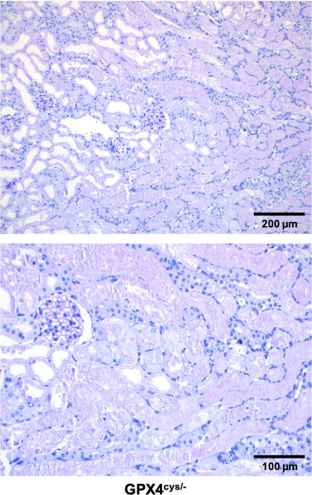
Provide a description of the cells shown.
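This is kidney tissue with a glomerulus and many surrounding tubules, and the tubules are badly injured. Many tubules have widened lumens lined by thin, flattened, pale epithelium, and many of the lining cells have no visible nucleus. Pale pink debris fills a number of the tubular lumens, while the glomerulus, a rounded knot of capillaries with dense blue nuclei, still stands out among them. Blue nuclei of interstitial cells are scattered in the narrow spaces between the tubules.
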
